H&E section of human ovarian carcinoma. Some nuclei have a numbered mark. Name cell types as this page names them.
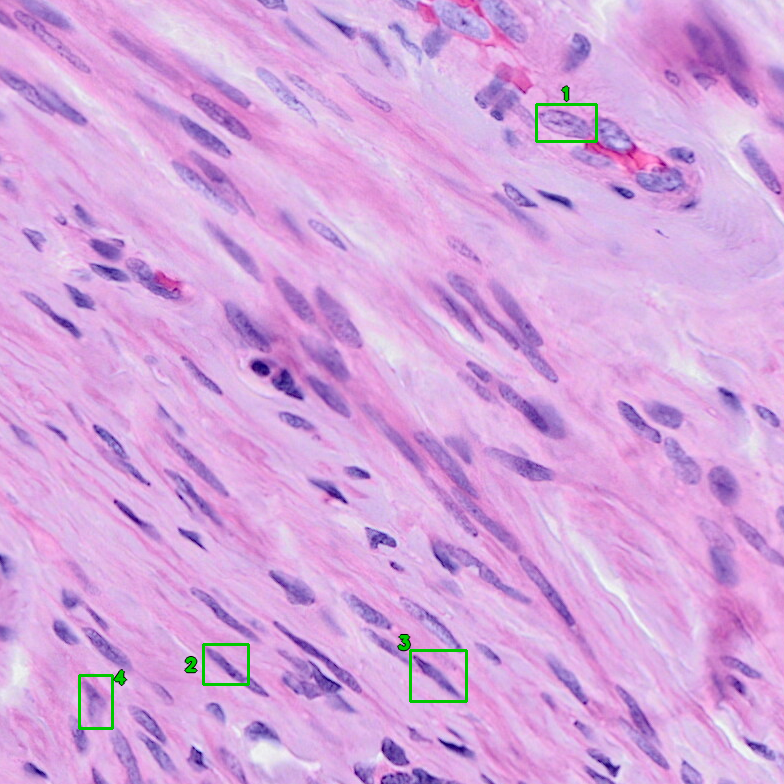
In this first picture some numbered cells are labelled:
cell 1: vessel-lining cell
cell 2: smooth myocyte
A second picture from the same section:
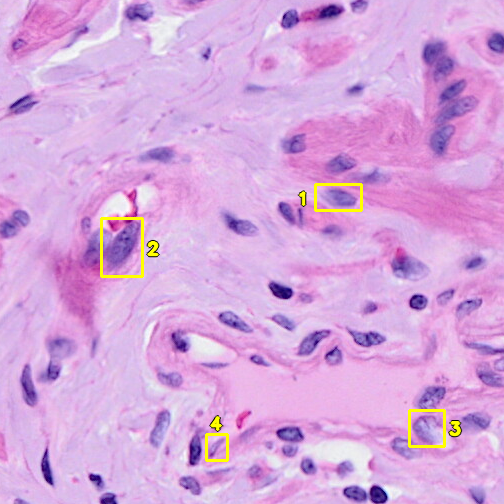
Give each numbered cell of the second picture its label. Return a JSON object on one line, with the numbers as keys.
{"1": "smooth myocyte", "2": "vessel-lining cell", "3": "vessel-lining cell", "4": "vessel-lining cell"}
